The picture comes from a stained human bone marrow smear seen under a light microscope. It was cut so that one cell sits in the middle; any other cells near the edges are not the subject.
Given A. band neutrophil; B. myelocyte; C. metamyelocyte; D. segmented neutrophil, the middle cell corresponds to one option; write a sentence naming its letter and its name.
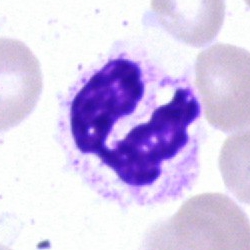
Option D holds up: the cell in the middle is a segmented neutrophil.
